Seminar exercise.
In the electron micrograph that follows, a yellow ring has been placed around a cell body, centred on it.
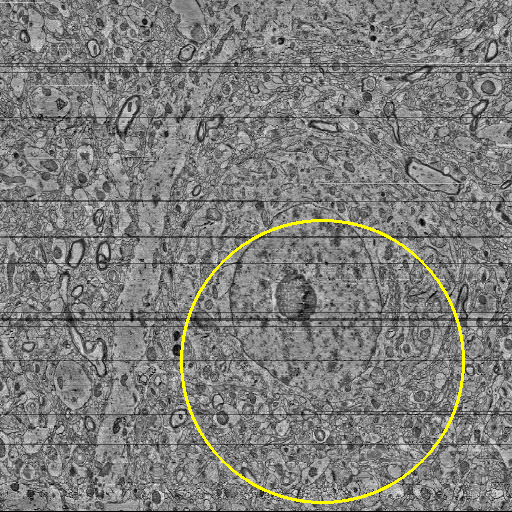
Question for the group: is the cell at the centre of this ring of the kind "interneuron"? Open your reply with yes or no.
Yes, the cell in the ring's centre is of that kind.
